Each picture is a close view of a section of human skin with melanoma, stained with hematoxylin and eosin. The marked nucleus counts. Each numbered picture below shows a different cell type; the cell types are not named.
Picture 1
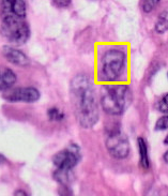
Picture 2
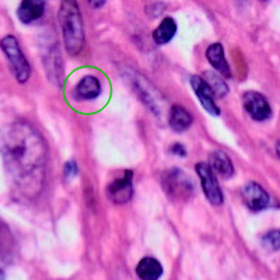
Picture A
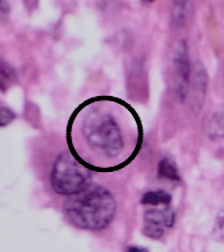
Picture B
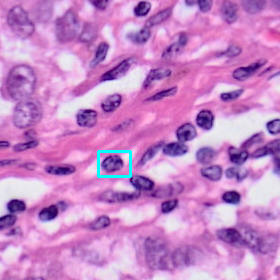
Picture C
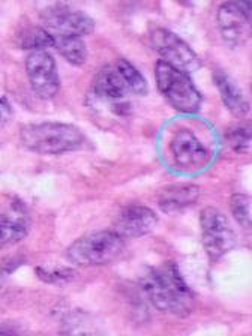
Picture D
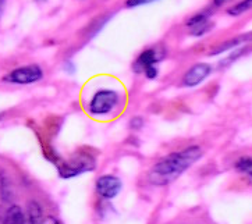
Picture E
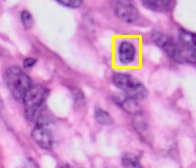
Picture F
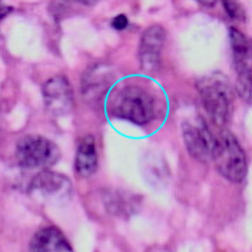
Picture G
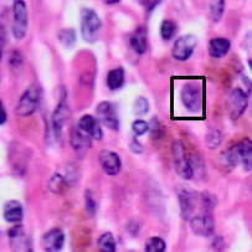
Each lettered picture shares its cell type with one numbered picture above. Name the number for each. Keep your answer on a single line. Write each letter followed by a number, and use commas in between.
A 1, B 2, C 1, D 2, E 2, F 1, G 2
